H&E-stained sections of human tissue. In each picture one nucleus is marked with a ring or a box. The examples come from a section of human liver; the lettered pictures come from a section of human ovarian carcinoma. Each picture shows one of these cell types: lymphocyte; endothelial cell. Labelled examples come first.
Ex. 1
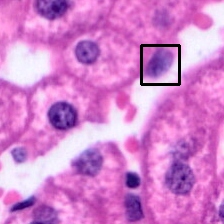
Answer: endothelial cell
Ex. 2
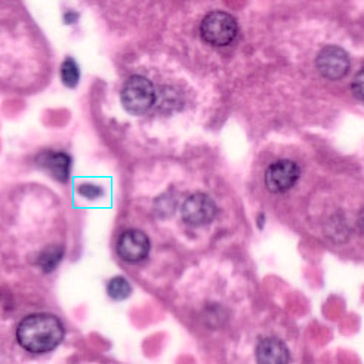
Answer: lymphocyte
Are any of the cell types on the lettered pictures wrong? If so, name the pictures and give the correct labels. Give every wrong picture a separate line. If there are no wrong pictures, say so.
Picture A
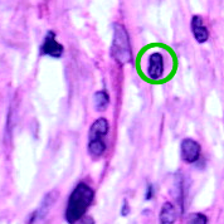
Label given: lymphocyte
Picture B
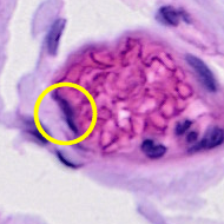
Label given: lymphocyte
Wrong: B (lymphocyte); correct: endothelial cell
